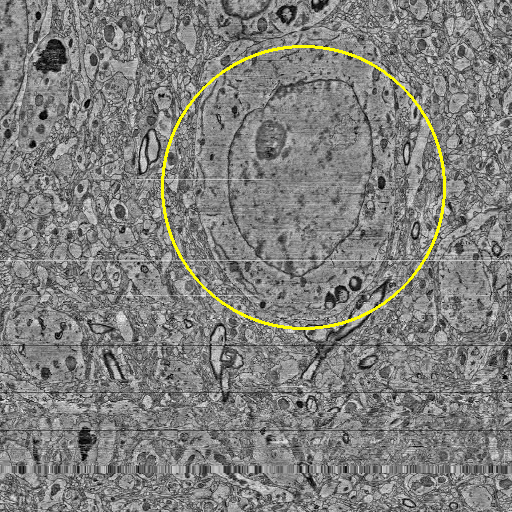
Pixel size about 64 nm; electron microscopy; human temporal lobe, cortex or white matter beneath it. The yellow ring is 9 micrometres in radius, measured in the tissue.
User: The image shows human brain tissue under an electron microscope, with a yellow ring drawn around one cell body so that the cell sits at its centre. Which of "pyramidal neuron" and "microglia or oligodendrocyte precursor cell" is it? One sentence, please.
At the centre of the ring sits a pyramidal neuron.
